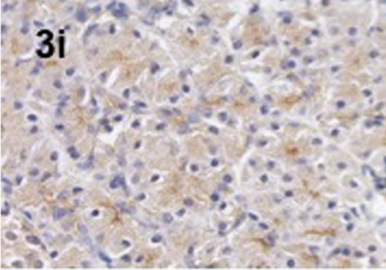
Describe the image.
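These are acinar cells packed closely together in a compact sheet, with round blue nuclei and a faintly brown-tinged cytoplasm. The cells are polygonal and arranged in small groups whose lumens are barely visible. Very little brown reaches the nuclei, which stay mostly blue. No dilated spaces interrupt the tissue.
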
